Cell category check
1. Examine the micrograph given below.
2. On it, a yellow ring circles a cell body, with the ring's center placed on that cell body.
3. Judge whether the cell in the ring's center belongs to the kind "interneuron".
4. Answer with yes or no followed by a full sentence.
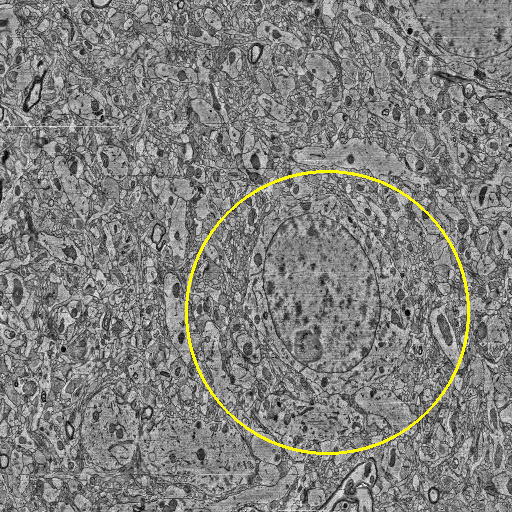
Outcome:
No, the cell found at the ring's center in the micrograph belongs to another kind.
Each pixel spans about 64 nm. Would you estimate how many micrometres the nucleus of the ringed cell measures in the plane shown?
About 11 micrometres by about 7 micrometres in this plane.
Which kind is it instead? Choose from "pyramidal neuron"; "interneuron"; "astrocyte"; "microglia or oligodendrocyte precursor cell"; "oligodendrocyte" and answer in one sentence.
Instead, the cell at the centre of the ring is a pyramidal neuron.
